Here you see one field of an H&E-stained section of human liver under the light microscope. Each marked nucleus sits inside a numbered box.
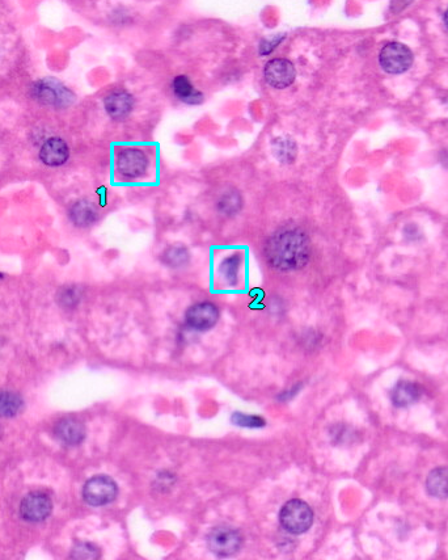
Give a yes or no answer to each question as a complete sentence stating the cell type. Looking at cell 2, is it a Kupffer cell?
Yes, the cell bearing the number 2 is a Kupffer cell.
